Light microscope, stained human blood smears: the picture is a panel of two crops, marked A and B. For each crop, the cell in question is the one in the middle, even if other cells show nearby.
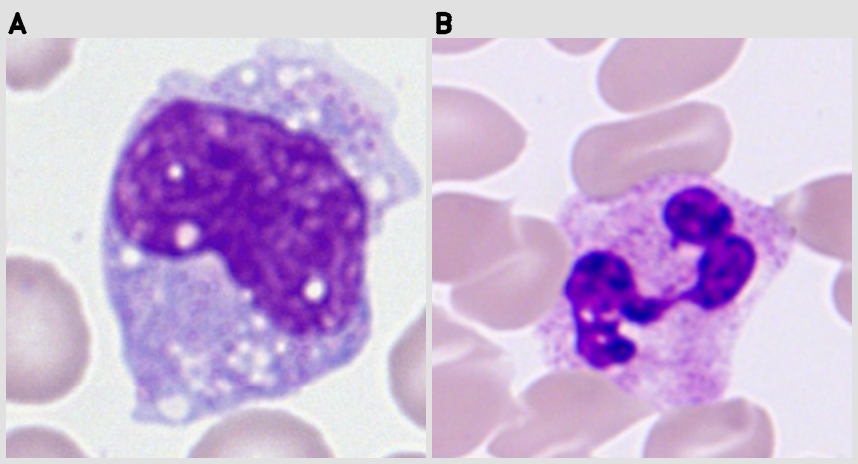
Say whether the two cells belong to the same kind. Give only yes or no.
no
